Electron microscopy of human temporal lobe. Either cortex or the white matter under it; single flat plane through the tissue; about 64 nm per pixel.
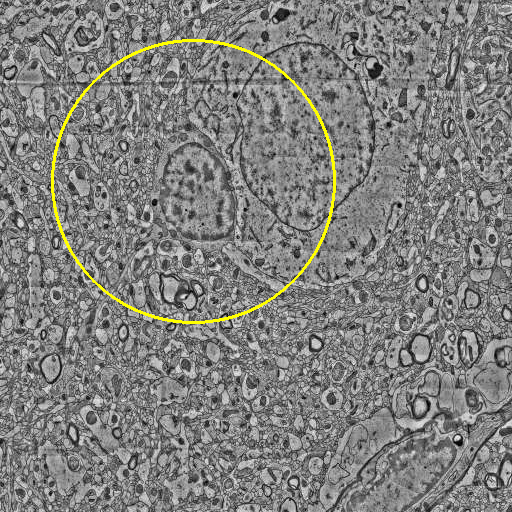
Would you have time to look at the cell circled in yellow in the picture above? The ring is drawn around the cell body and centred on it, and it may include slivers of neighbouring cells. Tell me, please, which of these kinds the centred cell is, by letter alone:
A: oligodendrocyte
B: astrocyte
A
